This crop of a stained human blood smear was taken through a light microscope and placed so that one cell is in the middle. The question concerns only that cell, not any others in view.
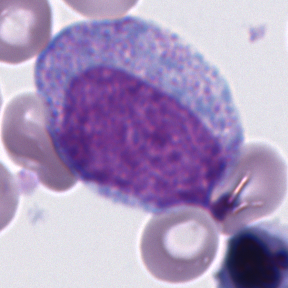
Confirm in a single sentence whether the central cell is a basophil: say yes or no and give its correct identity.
No, the cell in the centre is a promyelocyte instead of a basophil.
